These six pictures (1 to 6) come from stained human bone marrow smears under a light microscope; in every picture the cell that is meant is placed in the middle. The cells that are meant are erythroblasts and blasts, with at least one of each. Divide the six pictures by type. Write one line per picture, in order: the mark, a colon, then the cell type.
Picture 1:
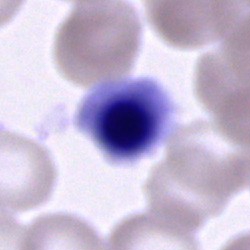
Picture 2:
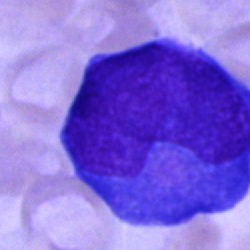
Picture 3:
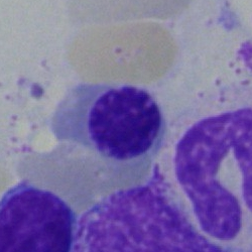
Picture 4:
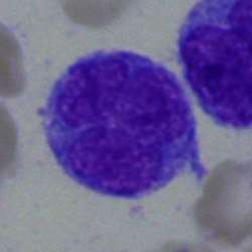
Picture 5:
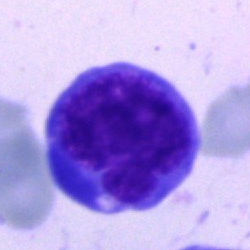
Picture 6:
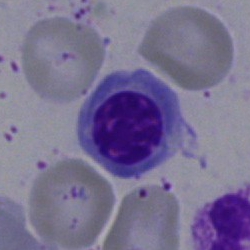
1: erythroblast
2: blast
3: erythroblast
4: blast
5: blast
6: erythroblast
